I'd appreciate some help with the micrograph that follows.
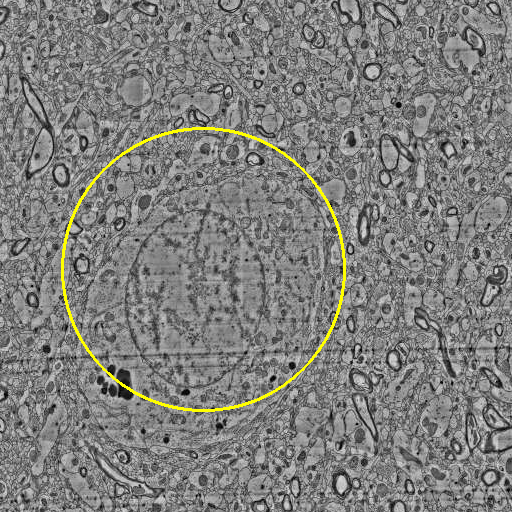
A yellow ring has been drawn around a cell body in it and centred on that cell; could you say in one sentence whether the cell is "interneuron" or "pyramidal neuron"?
It is an interneuron at the centre of the ring.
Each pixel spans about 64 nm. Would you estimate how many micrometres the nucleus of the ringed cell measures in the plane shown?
Approximately 10 micrometres across in this plane.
